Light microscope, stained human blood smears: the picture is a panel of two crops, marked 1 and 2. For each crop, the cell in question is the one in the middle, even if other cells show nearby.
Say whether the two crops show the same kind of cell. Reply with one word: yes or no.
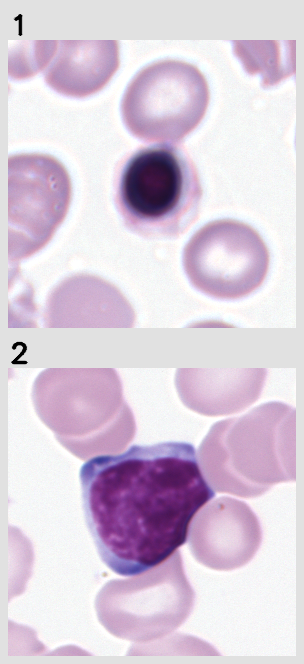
no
